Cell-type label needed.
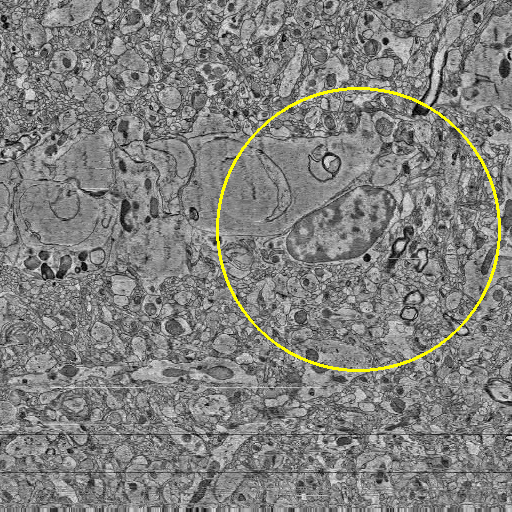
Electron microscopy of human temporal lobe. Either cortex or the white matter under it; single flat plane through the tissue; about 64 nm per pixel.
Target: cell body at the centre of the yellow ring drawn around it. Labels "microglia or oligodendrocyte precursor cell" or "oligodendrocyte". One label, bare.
microglia or oligodendrocyte precursor cell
